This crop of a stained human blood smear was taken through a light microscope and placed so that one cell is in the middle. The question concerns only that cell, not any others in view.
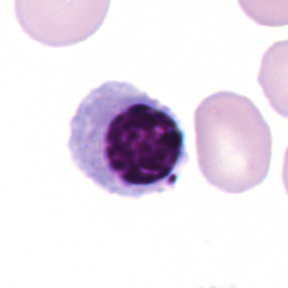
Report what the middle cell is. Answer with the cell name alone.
normoblast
